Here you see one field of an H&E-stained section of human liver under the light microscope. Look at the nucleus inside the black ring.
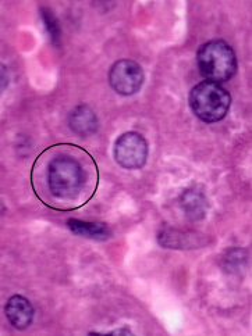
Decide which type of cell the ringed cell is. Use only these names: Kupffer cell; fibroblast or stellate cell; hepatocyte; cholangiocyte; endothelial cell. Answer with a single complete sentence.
Among the cells in this section, the ringed cell is a hepatocyte.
